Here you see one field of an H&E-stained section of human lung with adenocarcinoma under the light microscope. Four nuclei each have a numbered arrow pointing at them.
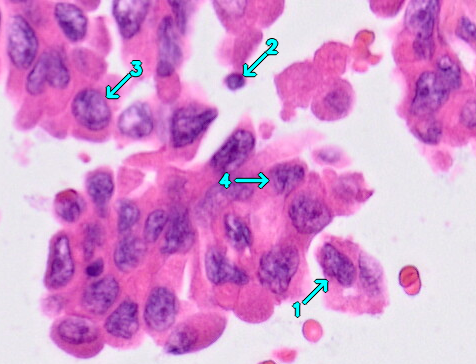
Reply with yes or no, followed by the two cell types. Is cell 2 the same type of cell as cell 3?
No, what is marked as cell 2 is a lymphocyte, and what is marked as cell 3 is a carcinoma cell.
